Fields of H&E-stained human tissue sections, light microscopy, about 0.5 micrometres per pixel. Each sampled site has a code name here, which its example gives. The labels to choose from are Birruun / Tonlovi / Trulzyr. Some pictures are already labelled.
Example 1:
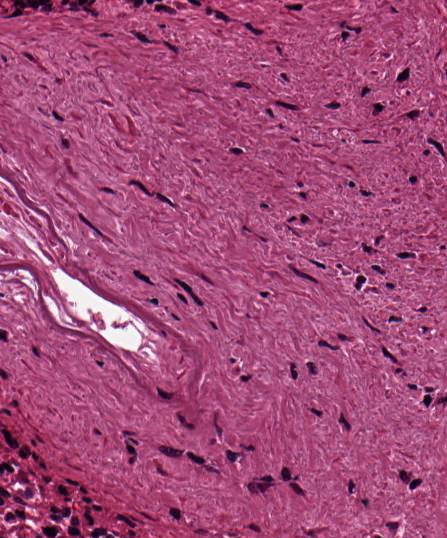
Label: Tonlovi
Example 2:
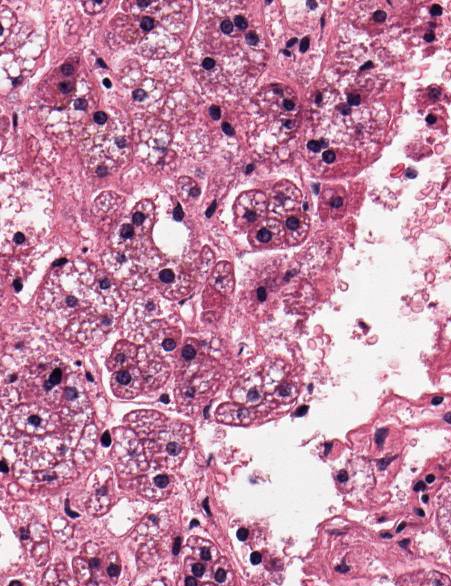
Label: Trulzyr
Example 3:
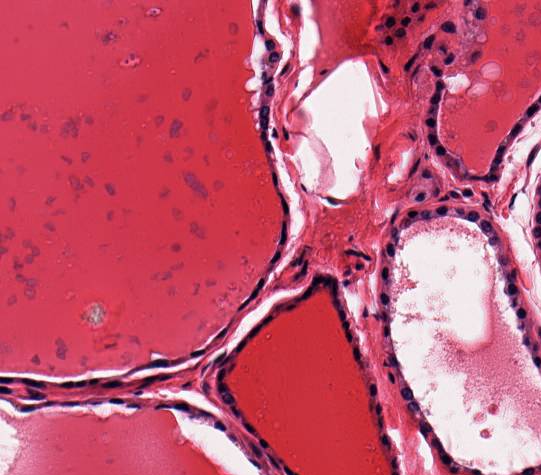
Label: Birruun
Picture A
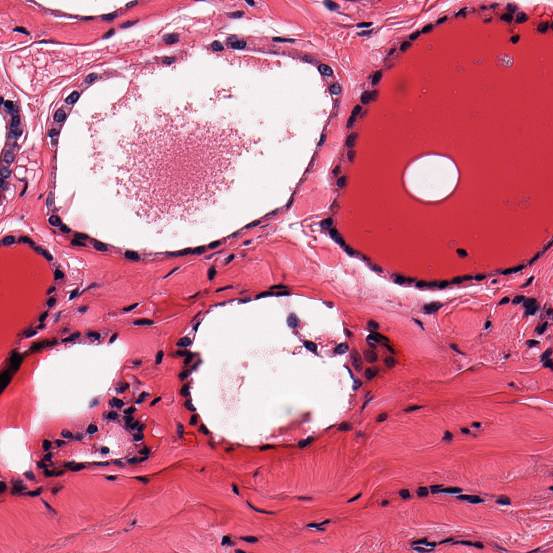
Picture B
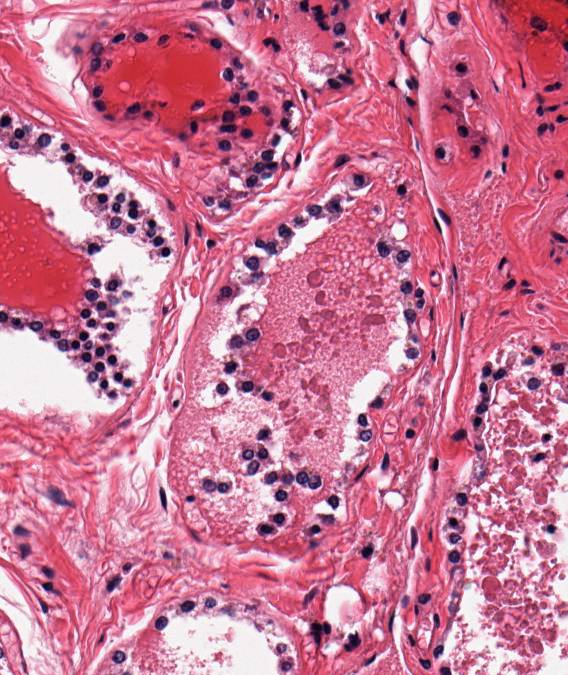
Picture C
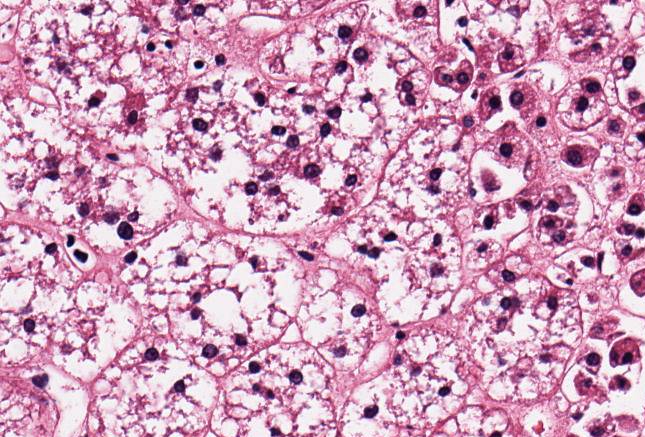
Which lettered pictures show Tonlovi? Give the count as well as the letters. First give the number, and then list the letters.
0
